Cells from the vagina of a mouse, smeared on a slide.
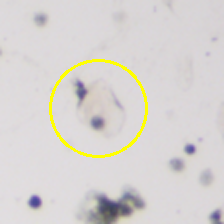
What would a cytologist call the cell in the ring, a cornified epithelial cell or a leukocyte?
A cytologist would call it a cornified epithelial cell.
